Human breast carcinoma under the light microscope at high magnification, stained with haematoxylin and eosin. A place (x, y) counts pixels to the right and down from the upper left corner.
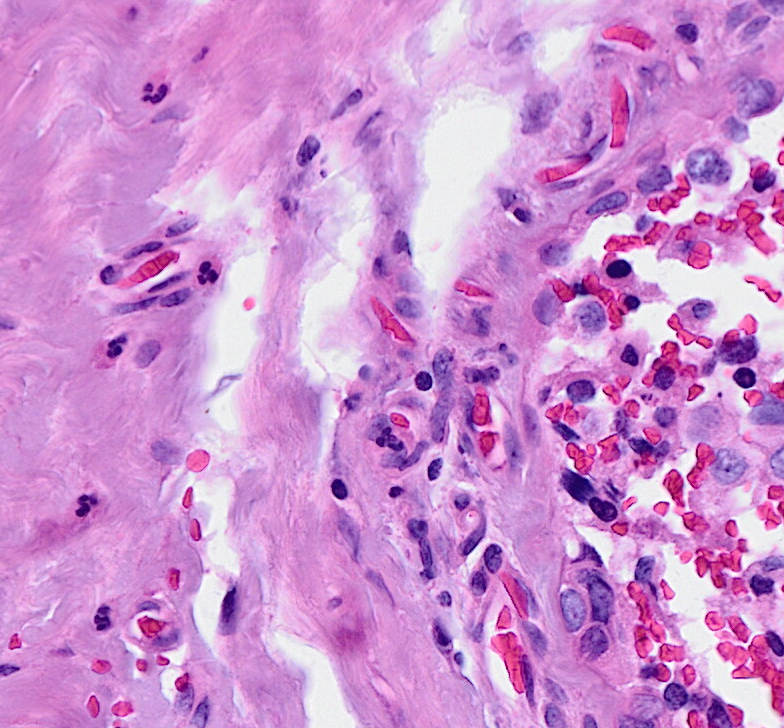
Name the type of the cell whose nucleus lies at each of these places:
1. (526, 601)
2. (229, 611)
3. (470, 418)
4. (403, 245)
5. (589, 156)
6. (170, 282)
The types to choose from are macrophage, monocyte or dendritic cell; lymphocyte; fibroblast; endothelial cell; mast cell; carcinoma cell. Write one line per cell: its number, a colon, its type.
1: endothelial cell
2: fibroblast
3: endothelial cell
4: fibroblast
5: endothelial cell
6: endothelial cell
